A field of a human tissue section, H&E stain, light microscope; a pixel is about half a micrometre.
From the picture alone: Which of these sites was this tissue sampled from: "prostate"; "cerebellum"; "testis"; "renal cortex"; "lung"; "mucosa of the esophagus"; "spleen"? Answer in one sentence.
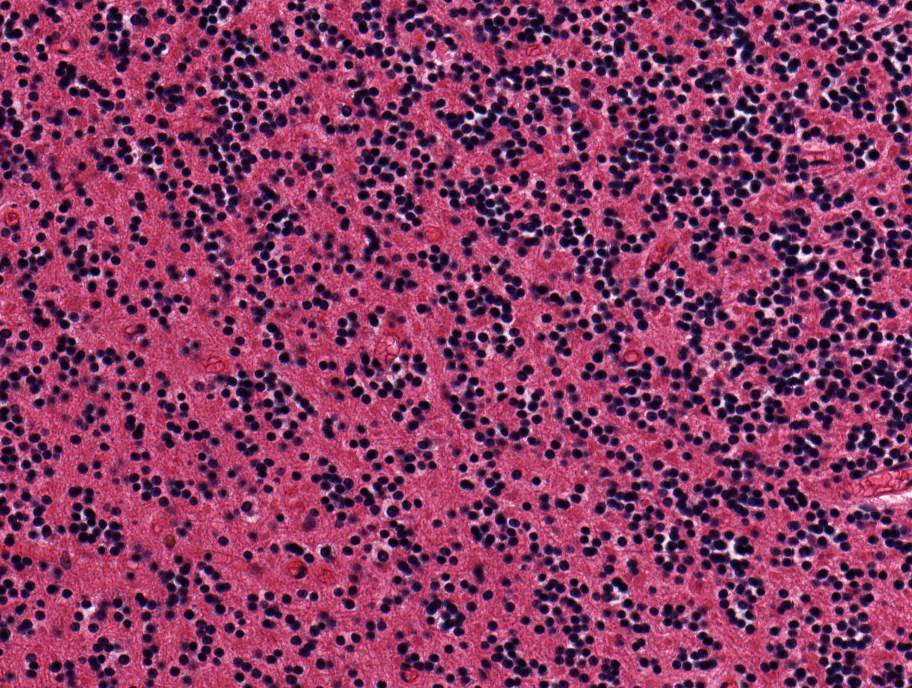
The site this tissue was sampled from is the cerebellum.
